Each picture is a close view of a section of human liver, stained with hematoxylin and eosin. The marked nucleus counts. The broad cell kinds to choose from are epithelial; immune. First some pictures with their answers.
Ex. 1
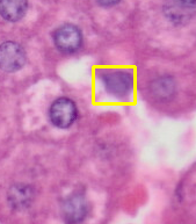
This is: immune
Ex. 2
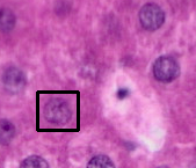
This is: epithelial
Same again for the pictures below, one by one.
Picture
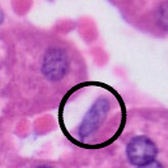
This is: immune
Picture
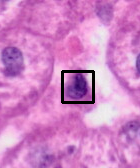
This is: immune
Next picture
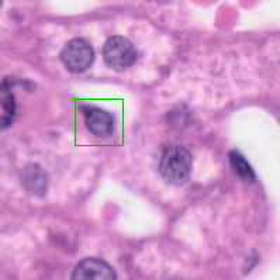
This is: immune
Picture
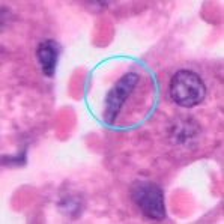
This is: immune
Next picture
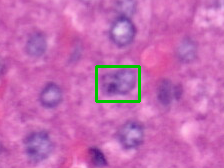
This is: epithelial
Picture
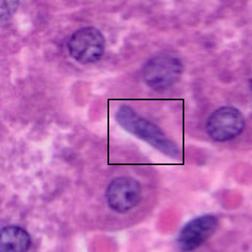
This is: immune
